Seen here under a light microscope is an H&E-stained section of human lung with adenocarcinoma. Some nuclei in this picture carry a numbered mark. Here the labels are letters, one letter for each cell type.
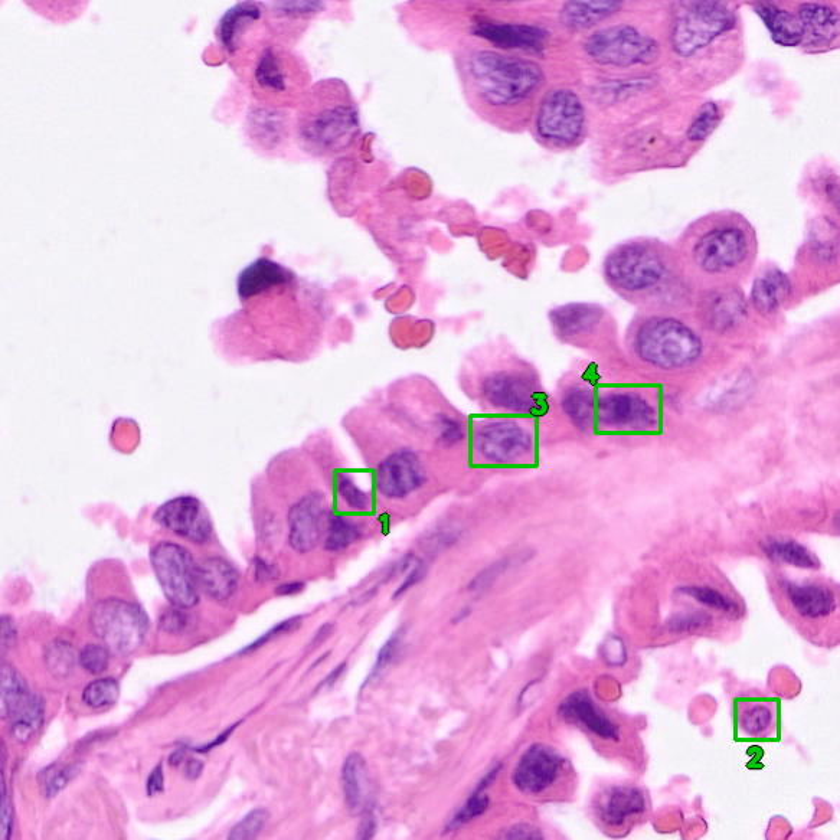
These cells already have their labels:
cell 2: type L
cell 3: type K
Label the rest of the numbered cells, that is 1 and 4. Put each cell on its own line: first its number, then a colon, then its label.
1: type K
4: type K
